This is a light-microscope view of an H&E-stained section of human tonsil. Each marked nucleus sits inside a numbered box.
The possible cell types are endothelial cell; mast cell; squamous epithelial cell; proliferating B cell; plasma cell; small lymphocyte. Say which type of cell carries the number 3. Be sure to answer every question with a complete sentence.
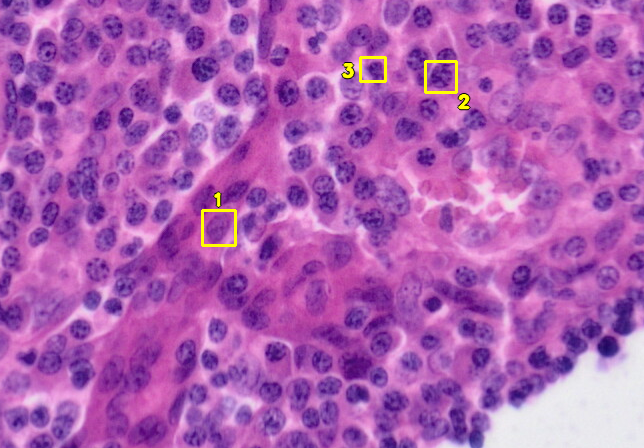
Nucleus 3 in this section belongs to a squamous epithelial cell.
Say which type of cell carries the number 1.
Numbered cell 1 is a squamous epithelial cell in this tissue section.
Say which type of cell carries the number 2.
Cell 2 should be recorded as a plasma cell.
